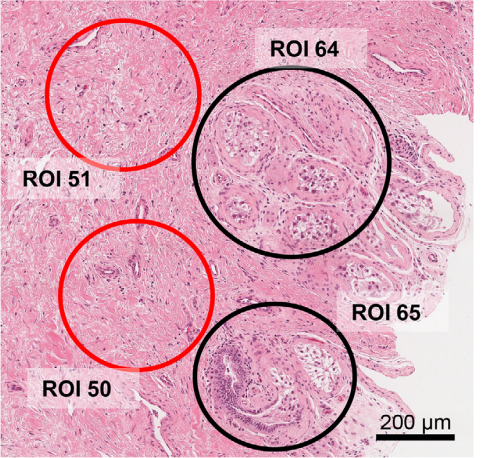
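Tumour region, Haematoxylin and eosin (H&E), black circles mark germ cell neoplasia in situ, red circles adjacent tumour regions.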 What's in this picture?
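This is a pink-stained section in which rounded tubular profiles sit within a broad field of fibrous stroma. The tubular profiles on the right are bounded by pink walls and are lined by cells with pale cytoplasm and round purple nuclei. One tubule holds a denser rim of small dark nuclei and loose pale material in its centre.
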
